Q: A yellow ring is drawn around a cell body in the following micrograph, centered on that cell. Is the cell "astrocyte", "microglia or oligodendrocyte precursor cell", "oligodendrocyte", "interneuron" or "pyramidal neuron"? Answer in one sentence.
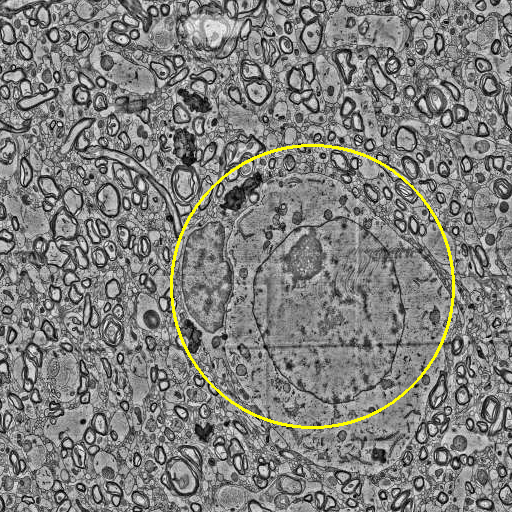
The cell in the center of the ring is a pyramidal neuron.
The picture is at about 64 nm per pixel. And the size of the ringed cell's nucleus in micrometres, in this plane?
In this plane the nucleus measures roughly 12 by 10 micrometres.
